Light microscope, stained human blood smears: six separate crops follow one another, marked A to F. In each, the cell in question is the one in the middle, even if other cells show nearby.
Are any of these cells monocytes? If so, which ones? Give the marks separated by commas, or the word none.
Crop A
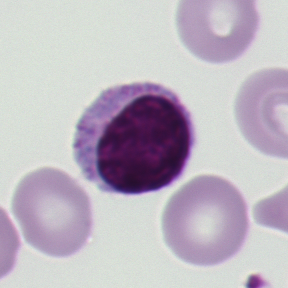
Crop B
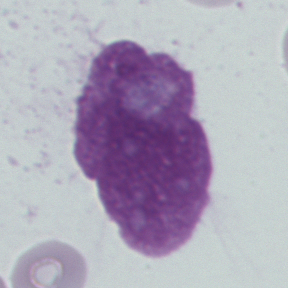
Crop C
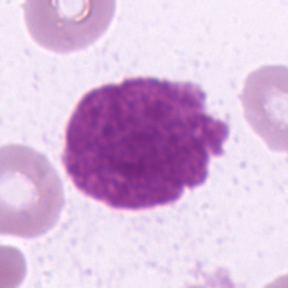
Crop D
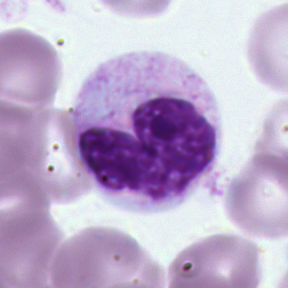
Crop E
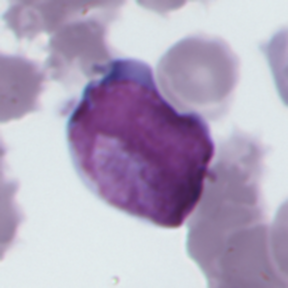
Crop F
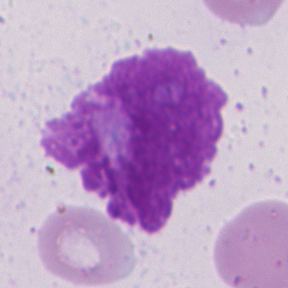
none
